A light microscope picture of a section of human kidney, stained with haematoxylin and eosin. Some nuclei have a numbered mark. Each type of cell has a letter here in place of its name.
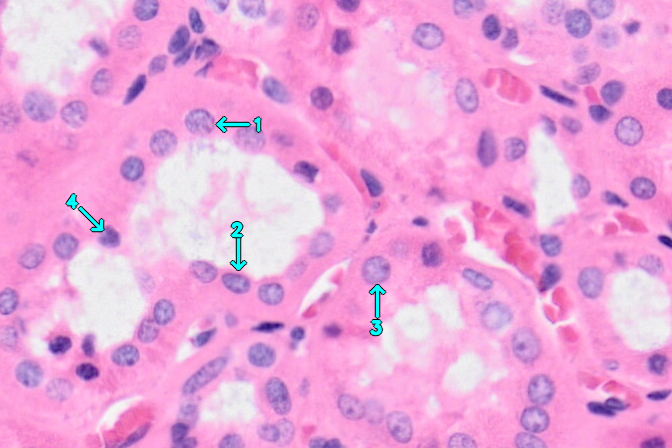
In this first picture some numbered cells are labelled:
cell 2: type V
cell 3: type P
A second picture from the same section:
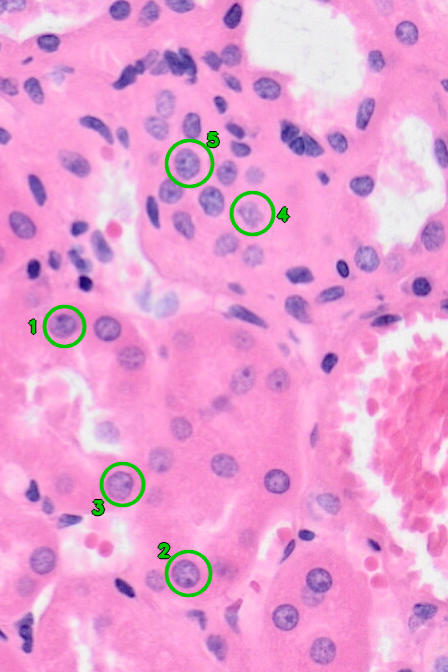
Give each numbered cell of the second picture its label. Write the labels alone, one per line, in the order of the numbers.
type P
type P
type P
type V
type V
